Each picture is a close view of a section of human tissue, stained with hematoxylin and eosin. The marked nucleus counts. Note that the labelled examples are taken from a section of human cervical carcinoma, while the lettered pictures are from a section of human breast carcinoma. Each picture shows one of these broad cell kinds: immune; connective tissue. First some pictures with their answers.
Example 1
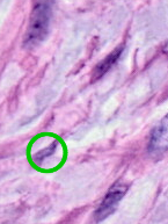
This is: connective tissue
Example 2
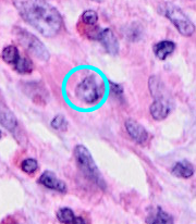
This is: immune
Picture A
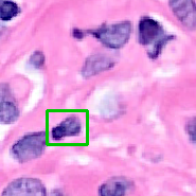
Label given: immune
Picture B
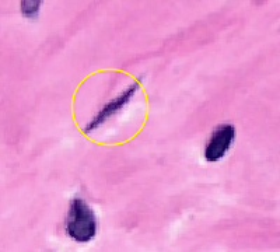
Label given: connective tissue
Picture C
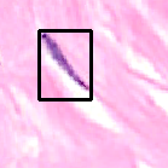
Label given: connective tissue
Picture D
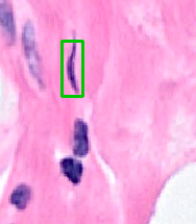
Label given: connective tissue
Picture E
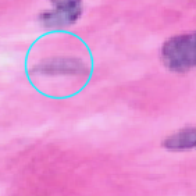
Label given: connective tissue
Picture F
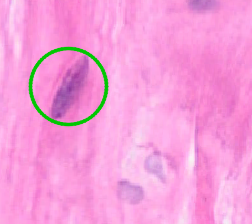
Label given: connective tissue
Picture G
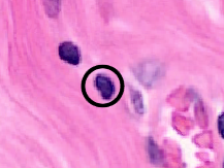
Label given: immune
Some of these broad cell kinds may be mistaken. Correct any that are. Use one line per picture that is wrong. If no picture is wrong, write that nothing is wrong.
No label is wrong.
